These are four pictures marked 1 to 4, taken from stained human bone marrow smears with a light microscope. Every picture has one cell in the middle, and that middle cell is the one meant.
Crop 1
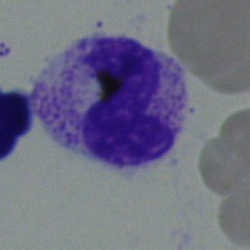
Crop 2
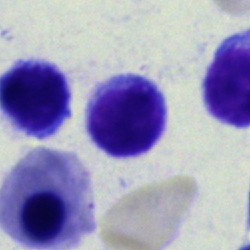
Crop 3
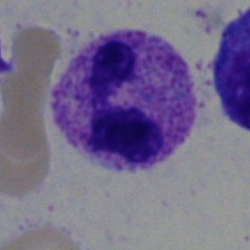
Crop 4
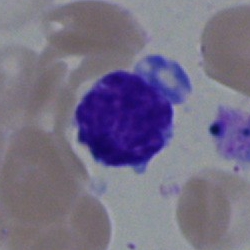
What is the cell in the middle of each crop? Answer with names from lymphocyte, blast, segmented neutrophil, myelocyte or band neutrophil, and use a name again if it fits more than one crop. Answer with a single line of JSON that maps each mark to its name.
{"1": "band neutrophil", "2": "lymphocyte", "3": "segmented neutrophil", "4": "lymphocyte"}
